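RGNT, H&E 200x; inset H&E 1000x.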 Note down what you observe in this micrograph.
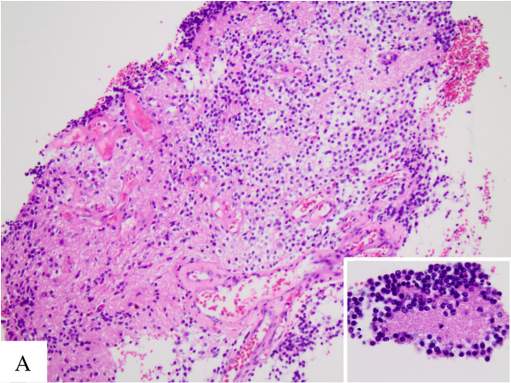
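This is a tumour with two kinds of tissue side by side: a neurocytic part and a glial part. Small, uniform round cells with dark round nuclei and scant cytoplasm crowd together, in places ringing pale pink fibrillary areas. Between them run pink, thick-walled, glassy vessels and looser pink fibrillary tissue with fewer, paler nuclei.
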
